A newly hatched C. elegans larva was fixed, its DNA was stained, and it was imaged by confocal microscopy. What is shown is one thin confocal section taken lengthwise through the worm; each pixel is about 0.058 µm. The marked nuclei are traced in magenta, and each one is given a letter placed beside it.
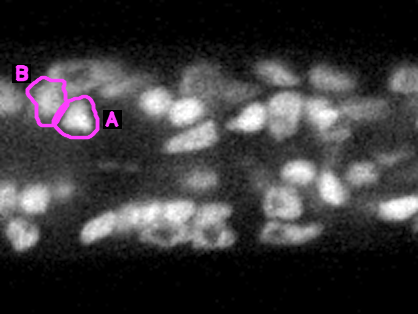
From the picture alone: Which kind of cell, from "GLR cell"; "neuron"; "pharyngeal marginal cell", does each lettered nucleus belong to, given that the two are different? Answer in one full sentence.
The nucleus A is that of a GLR cell, while B is that of a neuron.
